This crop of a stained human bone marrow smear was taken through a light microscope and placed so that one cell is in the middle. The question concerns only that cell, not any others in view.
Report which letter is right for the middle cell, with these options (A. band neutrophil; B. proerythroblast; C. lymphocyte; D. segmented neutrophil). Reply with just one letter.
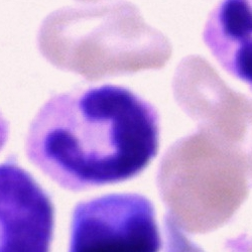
D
